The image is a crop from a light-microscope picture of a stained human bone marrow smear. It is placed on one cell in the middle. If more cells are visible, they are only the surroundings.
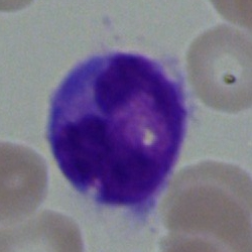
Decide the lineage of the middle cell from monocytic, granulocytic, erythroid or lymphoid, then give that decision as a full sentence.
Our central cell here is part of the monocytic lineage.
